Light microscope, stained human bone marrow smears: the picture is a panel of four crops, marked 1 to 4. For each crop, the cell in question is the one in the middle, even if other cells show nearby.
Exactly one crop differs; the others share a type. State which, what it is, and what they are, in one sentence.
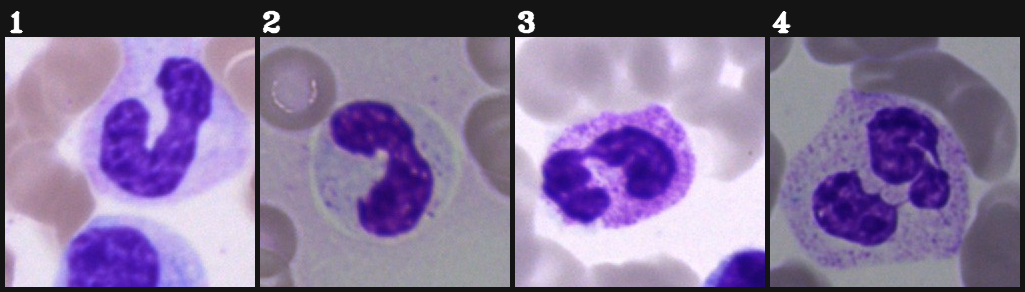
The single exception is crop 1, which is a band neutrophil; all other crops show segmented neutrophils.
